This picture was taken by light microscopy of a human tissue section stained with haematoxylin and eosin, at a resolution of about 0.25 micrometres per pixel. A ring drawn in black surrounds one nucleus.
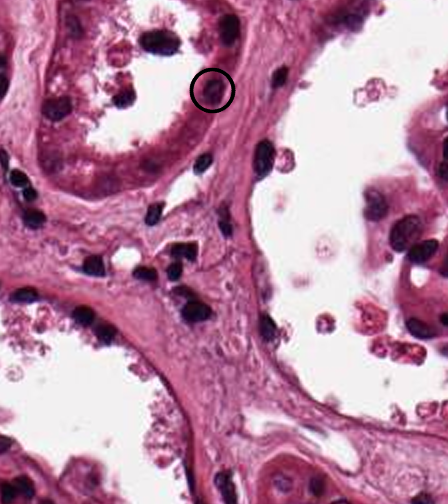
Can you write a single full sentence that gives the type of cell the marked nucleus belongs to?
The owner of the marked nucleus is a proximal tubule cell.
